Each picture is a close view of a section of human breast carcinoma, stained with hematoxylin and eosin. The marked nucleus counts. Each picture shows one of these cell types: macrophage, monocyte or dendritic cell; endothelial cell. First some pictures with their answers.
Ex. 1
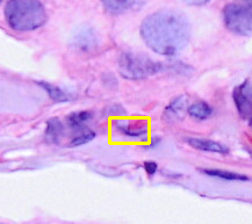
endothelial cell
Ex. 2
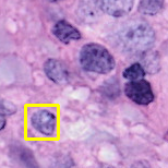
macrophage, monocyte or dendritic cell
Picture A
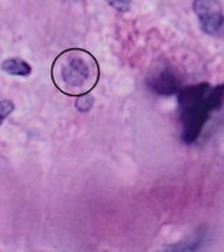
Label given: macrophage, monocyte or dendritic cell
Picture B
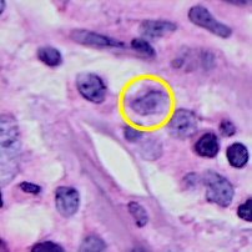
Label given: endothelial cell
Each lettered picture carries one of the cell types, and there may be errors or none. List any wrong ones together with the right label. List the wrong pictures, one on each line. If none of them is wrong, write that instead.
B is labelled endothelial cell; correct label: macrophage, monocyte or dendritic cell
